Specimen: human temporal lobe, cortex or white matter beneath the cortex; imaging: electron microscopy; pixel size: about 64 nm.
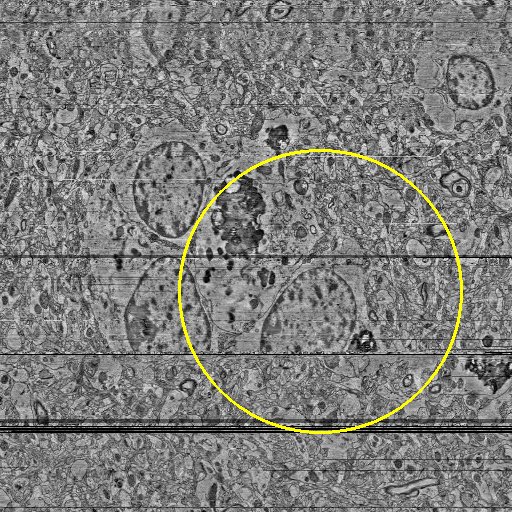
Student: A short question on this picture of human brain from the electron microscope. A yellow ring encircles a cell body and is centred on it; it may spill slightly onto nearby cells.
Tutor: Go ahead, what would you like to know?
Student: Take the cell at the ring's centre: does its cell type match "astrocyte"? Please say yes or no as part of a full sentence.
Yes, in the picture, the cell at the ring's centre has that cell type.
